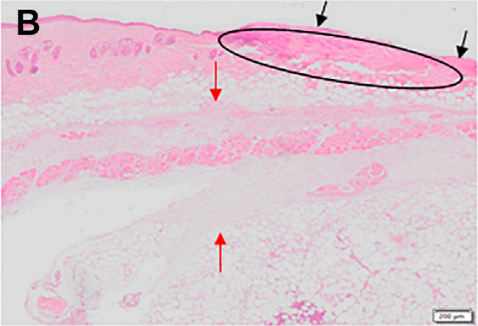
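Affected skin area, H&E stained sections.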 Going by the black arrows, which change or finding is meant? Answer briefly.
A: Loss of epidermal continuity.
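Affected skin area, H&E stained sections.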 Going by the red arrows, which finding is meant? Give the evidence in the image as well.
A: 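Loosening of the connective tissue. Between the arrows lies a wide, pale, loosely textured layer. The layer is thicker and lighter stained than the compact tissue above.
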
